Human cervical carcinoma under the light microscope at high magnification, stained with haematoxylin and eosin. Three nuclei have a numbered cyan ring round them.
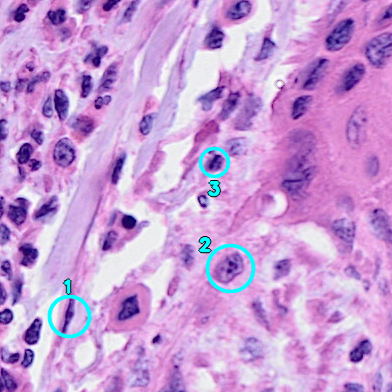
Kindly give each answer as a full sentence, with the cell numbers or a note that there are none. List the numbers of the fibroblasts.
Only the cell numbered 1 qualifies as a fibroblast among the marked cells.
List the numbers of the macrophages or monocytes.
Of the marked cells, the one numbered 2 is a macrophage or monocyte and the rest are not.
